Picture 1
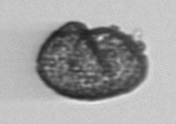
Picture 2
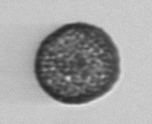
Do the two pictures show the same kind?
Yes, both are Umbilicosphaera sibogae.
